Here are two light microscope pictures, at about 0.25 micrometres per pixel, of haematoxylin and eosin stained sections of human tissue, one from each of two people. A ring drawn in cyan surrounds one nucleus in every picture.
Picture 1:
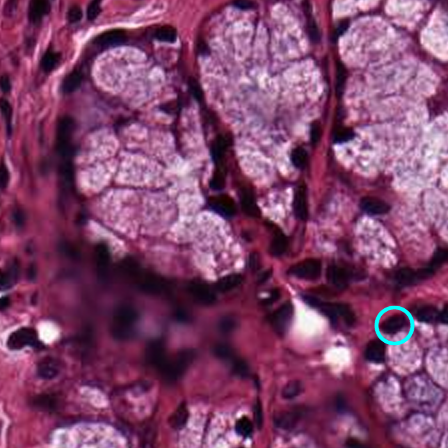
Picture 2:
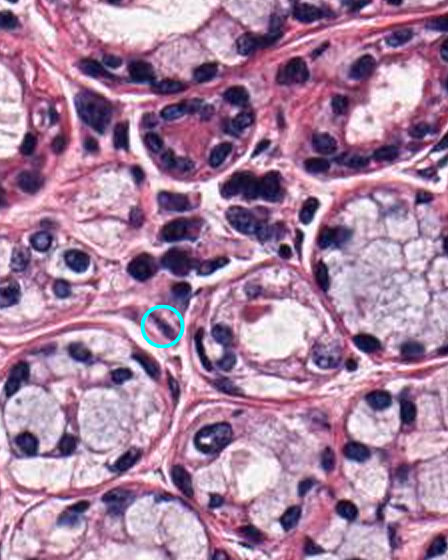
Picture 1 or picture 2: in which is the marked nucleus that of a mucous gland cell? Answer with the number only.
1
